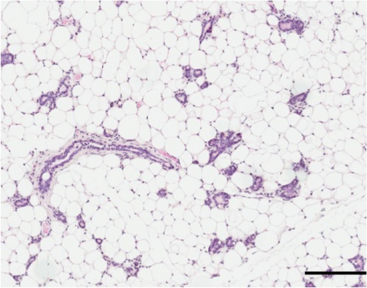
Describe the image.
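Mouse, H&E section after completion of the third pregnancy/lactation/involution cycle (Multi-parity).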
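This is mammary gland tissue made up mostly of large, empty-looking fat cells with thin pale pink walls, packed closely together. Small clusters of purple-stained epithelial structures lie scattered among the fat cells. An elongated duct-like structure runs across the lower left, surrounded by a thin pink rim of connective tissue.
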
